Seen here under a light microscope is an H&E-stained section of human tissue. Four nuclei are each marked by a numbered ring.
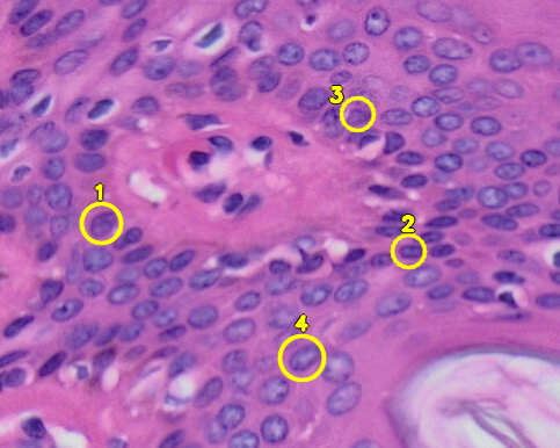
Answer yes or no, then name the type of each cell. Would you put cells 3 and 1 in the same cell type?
Yes, cells 3 and 1 are both basal keratinocytes in this section.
